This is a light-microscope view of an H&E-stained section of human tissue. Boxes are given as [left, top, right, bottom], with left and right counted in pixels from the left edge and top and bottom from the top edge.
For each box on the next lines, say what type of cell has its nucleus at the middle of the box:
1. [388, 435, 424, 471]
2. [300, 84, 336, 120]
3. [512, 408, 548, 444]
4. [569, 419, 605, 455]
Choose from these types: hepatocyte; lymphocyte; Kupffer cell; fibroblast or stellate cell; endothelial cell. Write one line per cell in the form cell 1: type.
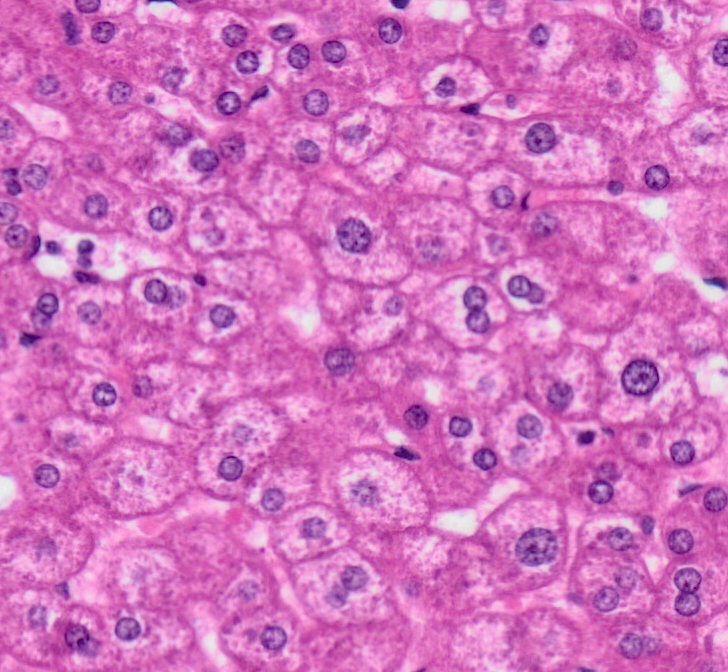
cell 1: endothelial cell
cell 2: hepatocyte
cell 3: hepatocyte
cell 4: lymphocyte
